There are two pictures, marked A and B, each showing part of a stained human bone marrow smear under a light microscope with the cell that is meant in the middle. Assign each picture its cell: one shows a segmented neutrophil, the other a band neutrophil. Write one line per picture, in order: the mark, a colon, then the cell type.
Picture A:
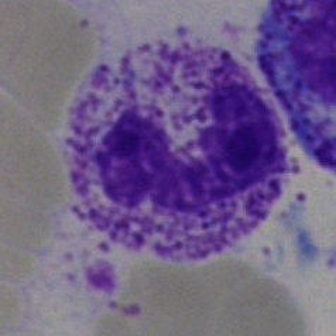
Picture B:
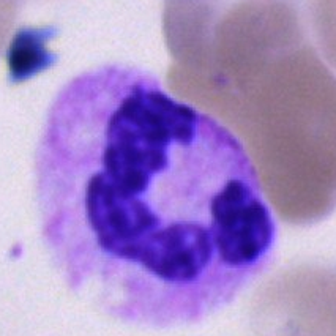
A: band neutrophil
B: segmented neutrophil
